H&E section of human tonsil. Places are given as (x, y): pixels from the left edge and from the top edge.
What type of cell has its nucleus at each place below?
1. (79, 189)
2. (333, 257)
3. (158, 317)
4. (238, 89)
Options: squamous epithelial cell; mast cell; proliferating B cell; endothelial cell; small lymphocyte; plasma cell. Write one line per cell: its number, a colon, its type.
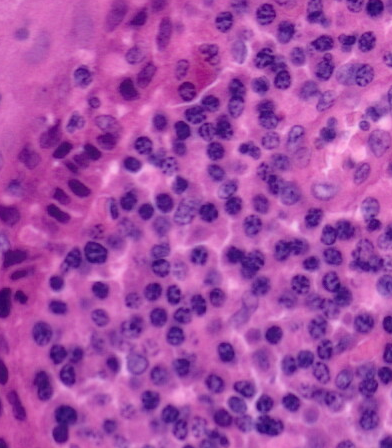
1: squamous epithelial cell
2: plasma cell
3: plasma cell
4: plasma cell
